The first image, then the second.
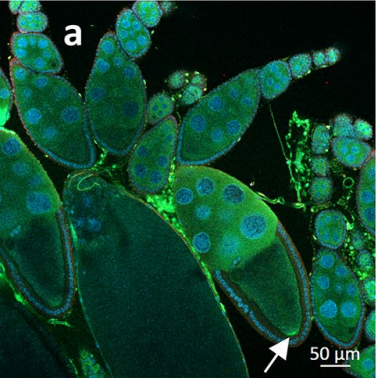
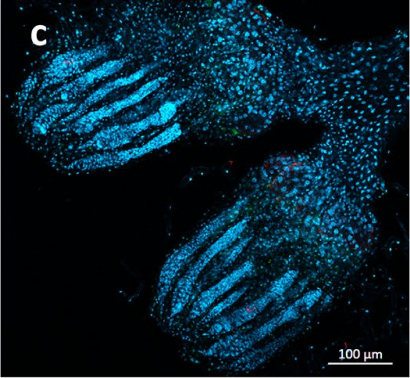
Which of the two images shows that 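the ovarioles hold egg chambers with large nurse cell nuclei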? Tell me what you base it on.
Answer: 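Second image: thin strands with only small nuclei, no egg chambers. First image: rows of egg chambers with large round nuclei.
Hence: the first image.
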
